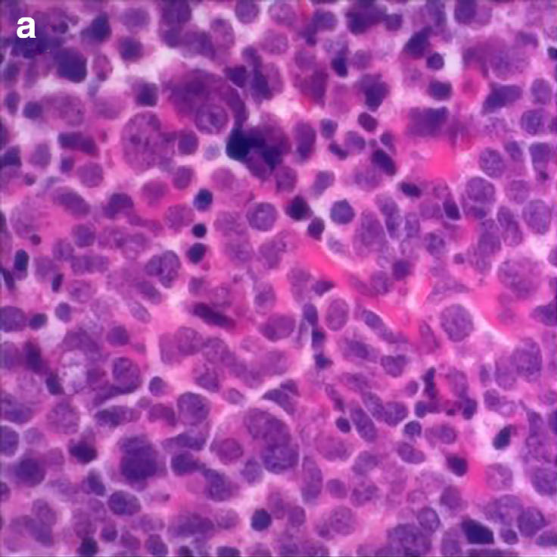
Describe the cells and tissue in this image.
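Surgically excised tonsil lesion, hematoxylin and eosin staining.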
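A solid sheet of crowded, closely packed cells with round to oval nuclei that hold fine chromatin and small nucleoli, with thin rims of pinkish-purple cytoplasm. Scattered darker nuclei and a dark, clumped nucleus near the top lie among them, and thin pink strands of stroma run between the cells.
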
